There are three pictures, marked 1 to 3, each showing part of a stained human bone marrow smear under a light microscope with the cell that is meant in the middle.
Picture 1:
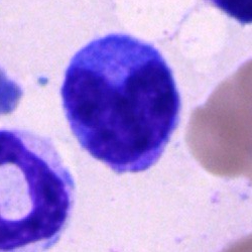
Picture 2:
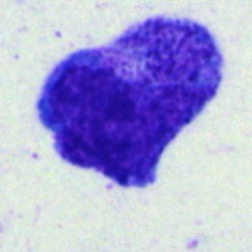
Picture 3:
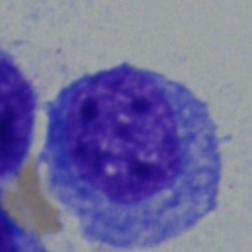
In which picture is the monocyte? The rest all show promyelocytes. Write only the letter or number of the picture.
1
